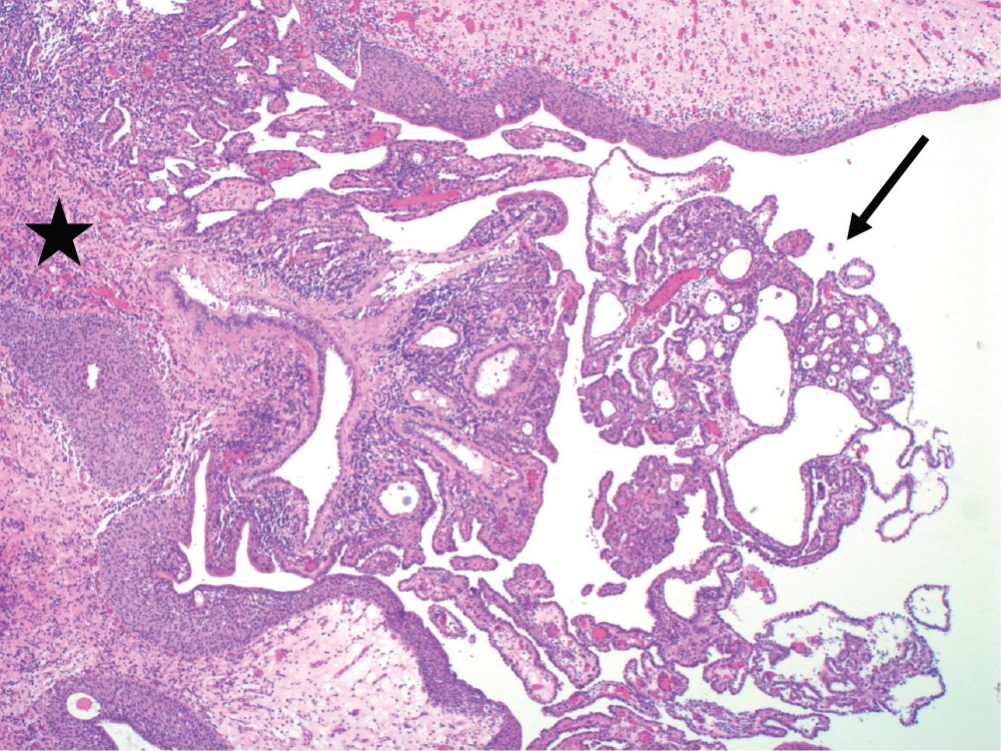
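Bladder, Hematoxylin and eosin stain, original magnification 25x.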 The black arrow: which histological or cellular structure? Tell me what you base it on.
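A branching, frond-like mass projects freely into an empty lumen. The mass contains small round glands and cystic spaces. The mass is covered by a thin epithelial lining. That points to this answer: Intraluminal polypoid mass.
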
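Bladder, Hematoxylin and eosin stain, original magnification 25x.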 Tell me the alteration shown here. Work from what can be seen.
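Small tubules and cystic glands lined by a single layer of bland cells. Papillary fronds project into the lumen of a hollow organ lined by multilayered epithelium. That points to this answer: Nephrogenic adenoma.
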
